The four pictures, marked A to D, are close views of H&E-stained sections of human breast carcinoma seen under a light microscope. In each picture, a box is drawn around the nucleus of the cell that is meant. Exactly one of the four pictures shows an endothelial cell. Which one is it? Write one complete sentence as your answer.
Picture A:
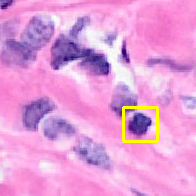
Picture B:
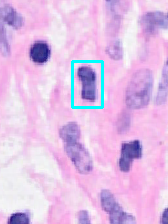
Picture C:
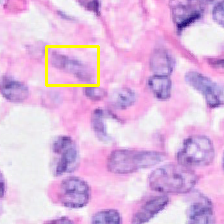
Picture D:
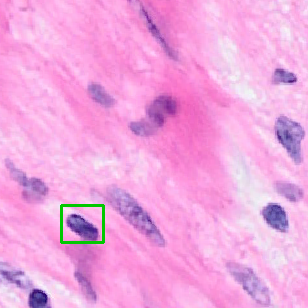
The picture with the endothelial cell is C.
